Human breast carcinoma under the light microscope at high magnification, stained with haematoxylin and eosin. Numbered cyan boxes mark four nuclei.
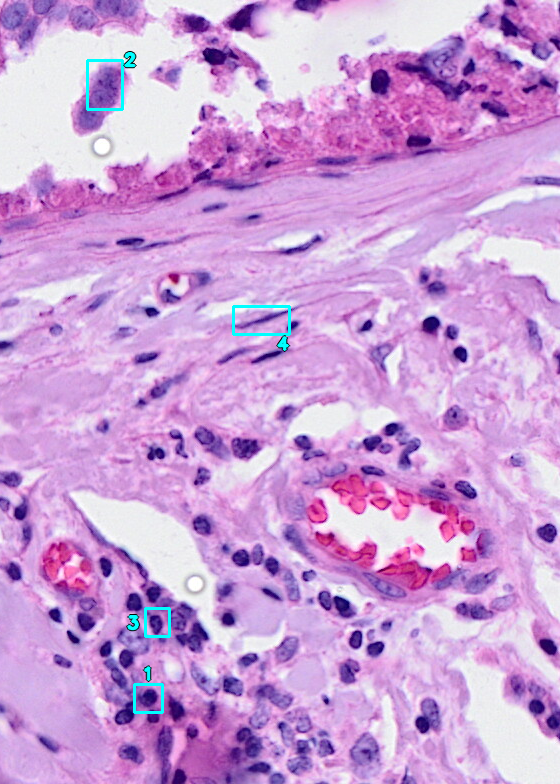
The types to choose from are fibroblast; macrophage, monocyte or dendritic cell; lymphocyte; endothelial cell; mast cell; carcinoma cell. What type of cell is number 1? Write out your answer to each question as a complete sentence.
Among the marked cells, number 1 is a lymphocyte.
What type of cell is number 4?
Here, the cell given the number 4 is a fibroblast.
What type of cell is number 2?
The numbered cell 2 is identified here as a carcinoma cell.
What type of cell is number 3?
The marked cell bearing number 3 is a lymphocyte.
